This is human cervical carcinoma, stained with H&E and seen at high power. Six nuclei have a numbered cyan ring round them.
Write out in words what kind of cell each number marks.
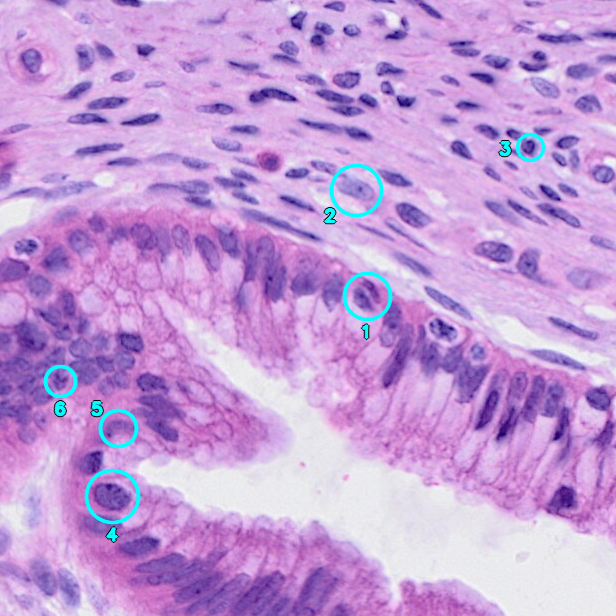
Cell 1 is a secretory epithelial cell, cell 2 is a fibroblast, cell 3 is a fibroblast, cell 4 is a secretory epithelial cell, cell 5 is a secretory epithelial cell and cell 6 is a secretory epithelial cell.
